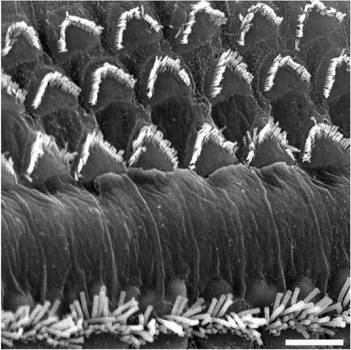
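This scanning electron micrograph looks down on the sensory surface of the cochlea, with three rows of outer hair cells at the top and a single row of inner hair cells at the bottom. Each outer hair cell carries a bundle of stereocilia arranged in a neat V shape, and the bundles line up in regular rows. The inner hair cells carry thicker, taller stereocilia in a more nearly straight line.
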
